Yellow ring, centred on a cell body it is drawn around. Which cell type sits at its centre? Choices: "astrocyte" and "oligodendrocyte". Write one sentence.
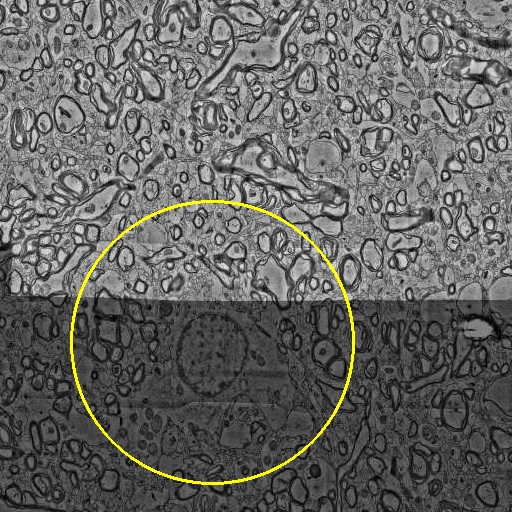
At the centre of the ring sits an astrocyte.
